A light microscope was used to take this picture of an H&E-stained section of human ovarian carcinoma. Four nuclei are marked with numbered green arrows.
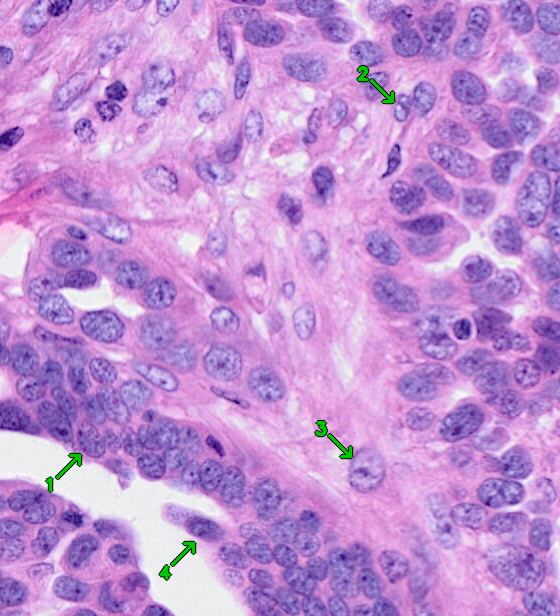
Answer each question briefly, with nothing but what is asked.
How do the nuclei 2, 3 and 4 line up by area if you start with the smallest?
2, 4, 3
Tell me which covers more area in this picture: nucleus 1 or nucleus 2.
1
